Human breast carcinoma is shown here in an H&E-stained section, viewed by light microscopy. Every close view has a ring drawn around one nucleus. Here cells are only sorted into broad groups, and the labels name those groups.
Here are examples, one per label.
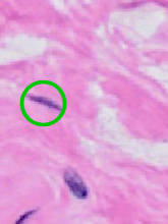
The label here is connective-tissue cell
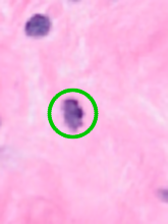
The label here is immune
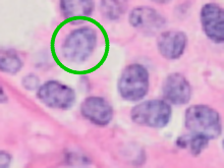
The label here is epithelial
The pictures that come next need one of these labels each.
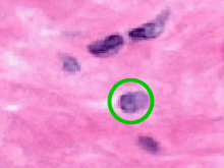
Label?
immune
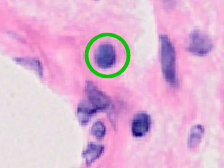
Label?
immune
